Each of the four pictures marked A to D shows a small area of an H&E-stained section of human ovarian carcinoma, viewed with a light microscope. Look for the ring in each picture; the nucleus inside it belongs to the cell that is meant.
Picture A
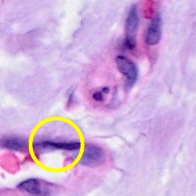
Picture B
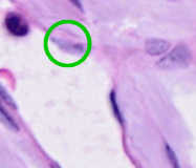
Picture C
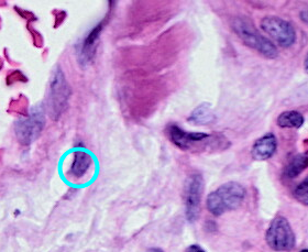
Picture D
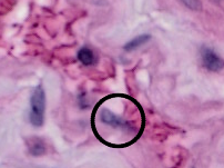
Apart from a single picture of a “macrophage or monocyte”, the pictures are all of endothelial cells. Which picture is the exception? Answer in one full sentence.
It is picture C that shows the “macrophage or monocyte”.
